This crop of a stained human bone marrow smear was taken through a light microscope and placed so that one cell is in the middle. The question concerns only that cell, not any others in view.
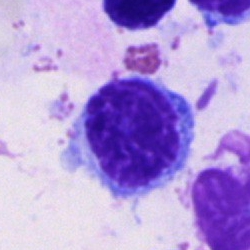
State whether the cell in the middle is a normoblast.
no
